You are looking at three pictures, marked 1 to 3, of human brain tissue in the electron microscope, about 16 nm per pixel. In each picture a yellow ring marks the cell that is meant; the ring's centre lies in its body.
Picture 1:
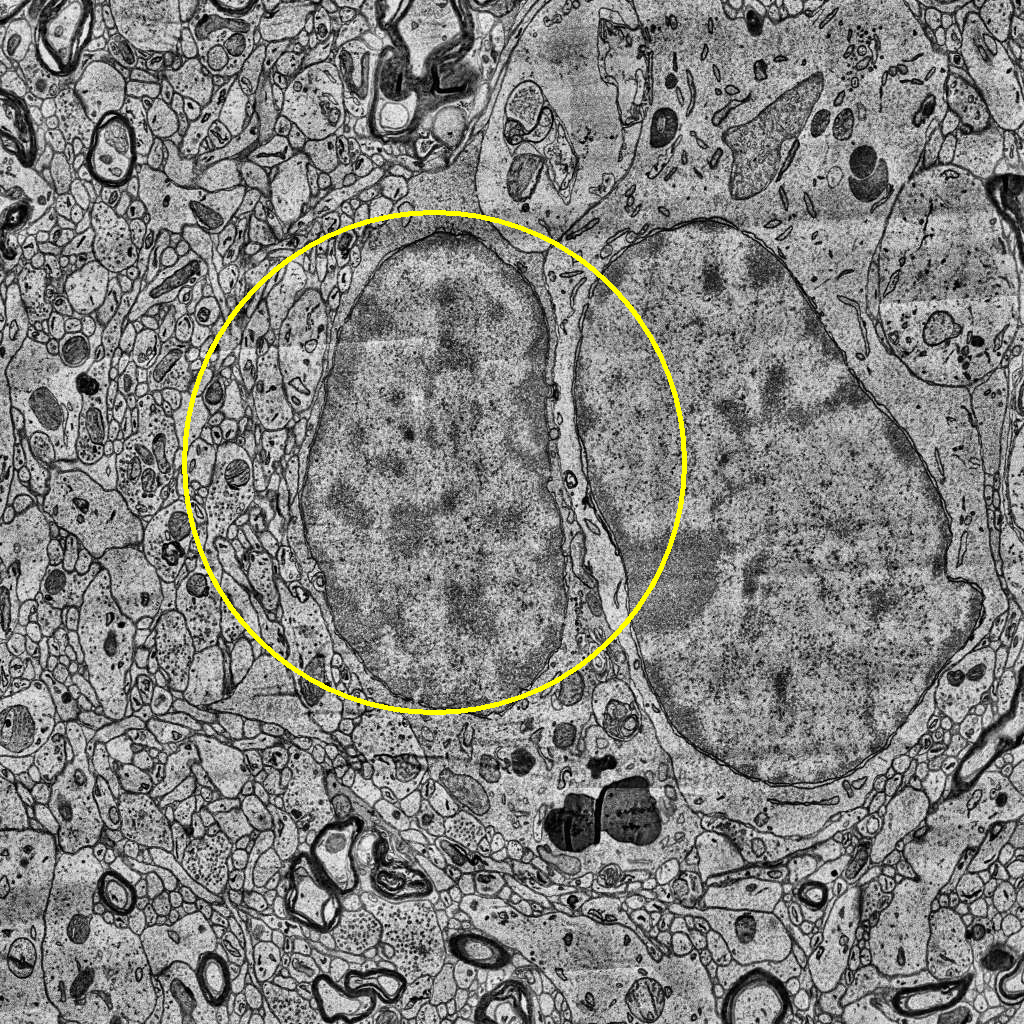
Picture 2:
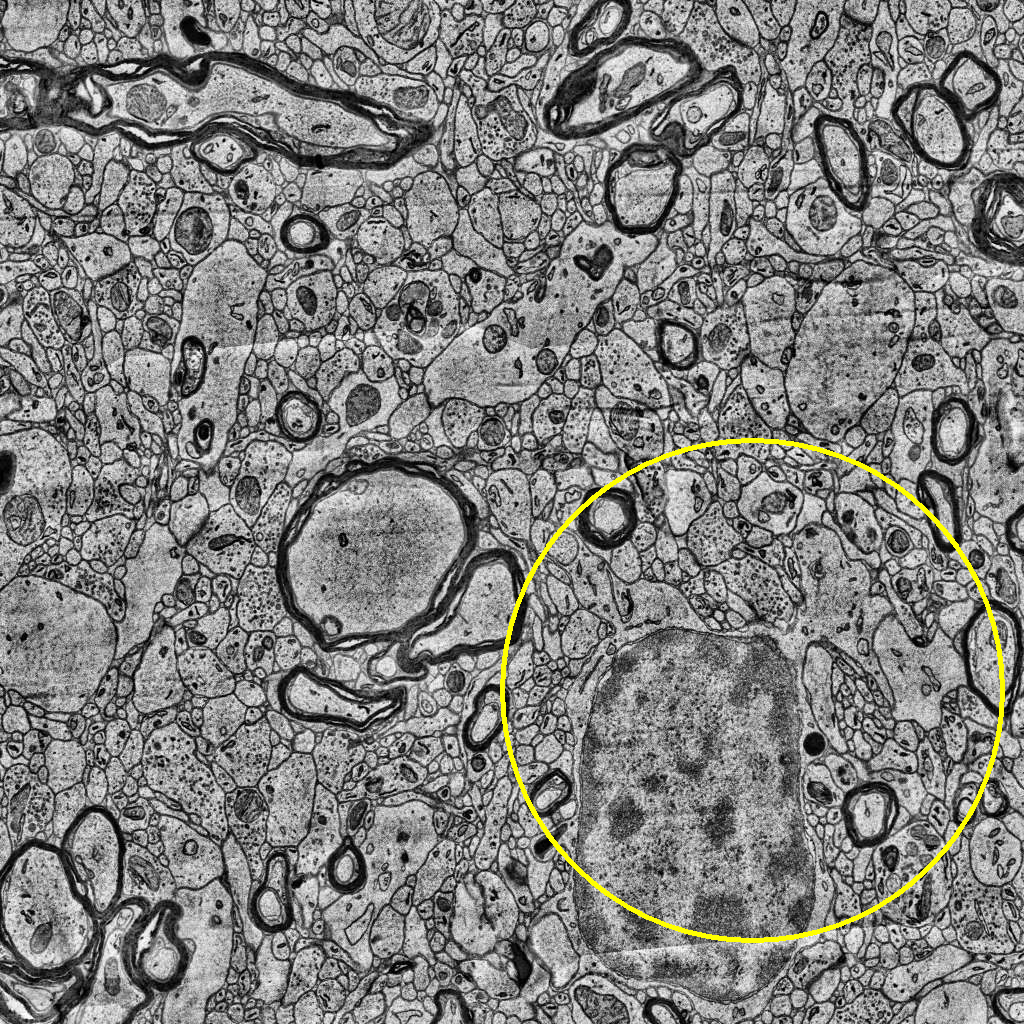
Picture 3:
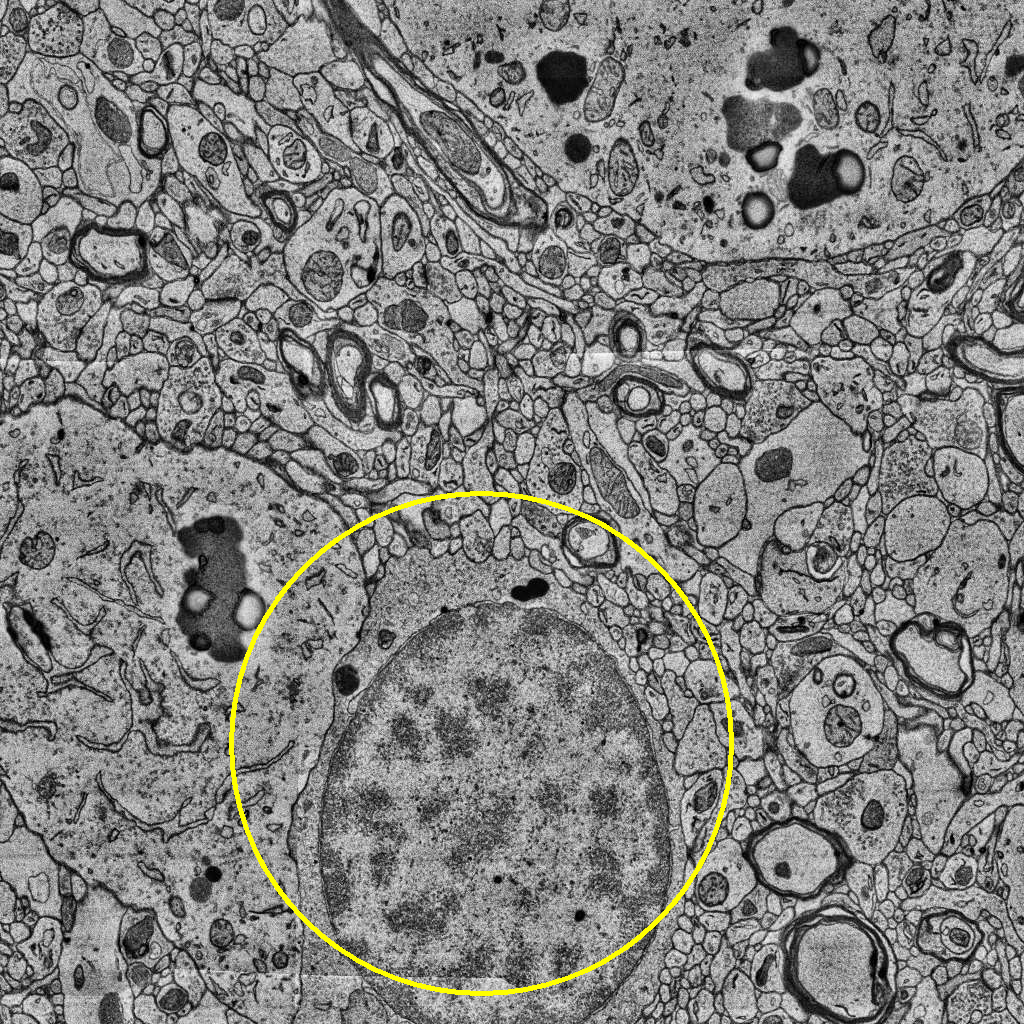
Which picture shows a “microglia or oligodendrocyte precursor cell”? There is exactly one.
It is picture 2 that shows the “microglia or oligodendrocyte precursor cell”.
